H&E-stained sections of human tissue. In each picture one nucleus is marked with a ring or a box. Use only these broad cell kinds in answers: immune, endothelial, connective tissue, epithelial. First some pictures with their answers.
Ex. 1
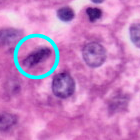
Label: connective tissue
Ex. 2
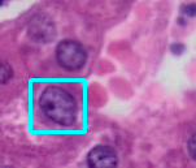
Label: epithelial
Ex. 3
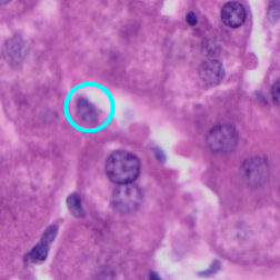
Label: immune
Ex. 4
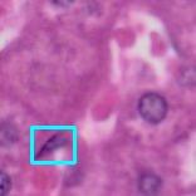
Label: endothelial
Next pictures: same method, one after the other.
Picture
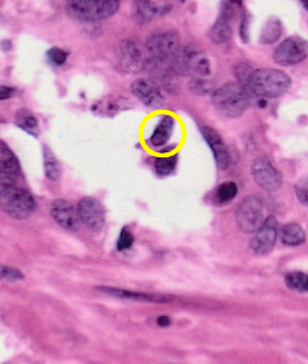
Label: epithelial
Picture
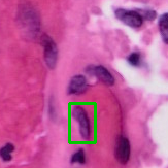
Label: endothelial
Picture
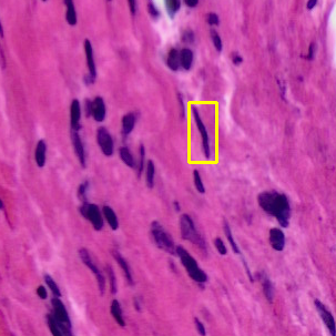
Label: connective tissue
